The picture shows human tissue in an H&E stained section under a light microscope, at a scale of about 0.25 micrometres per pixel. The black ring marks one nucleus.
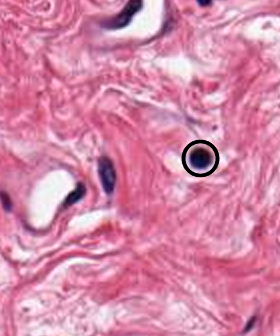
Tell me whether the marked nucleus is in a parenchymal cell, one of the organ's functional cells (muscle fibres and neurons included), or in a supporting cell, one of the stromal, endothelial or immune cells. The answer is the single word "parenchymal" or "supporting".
supporting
